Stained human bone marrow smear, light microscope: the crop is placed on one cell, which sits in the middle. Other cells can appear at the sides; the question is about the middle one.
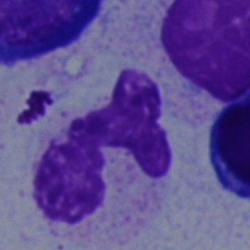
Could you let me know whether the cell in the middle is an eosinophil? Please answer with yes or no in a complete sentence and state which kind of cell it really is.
No, the cell centered in the crop is a band neutrophil, not an eosinophil.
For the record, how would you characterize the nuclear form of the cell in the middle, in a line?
We find a nucleus divided into at least two lobes.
